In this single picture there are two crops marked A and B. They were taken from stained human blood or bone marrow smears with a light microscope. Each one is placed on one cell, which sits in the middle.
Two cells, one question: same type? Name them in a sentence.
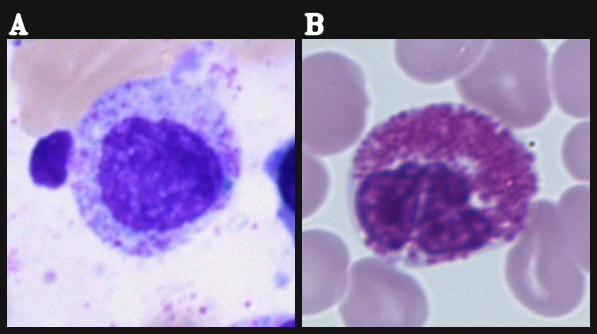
No, crop A offers a myelocyte, while crop B offers an eosinophil.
